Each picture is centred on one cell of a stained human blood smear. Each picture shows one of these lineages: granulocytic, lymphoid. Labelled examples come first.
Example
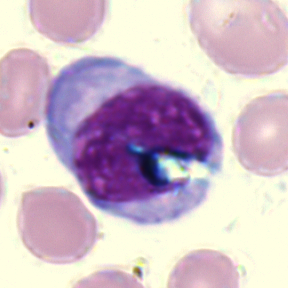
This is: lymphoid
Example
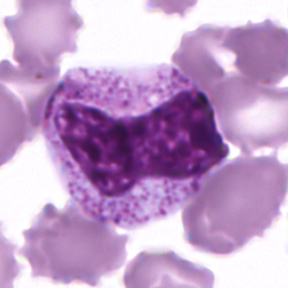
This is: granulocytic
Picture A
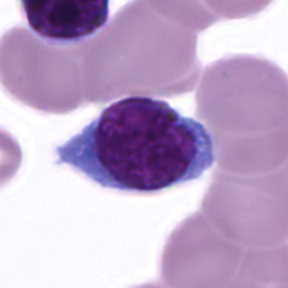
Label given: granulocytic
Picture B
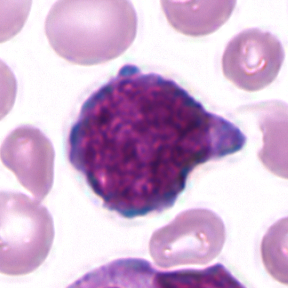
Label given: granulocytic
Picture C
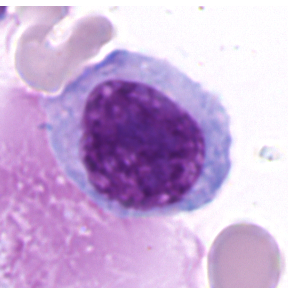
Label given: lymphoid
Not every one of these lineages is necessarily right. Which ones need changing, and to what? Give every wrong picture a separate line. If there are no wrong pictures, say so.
A: change granulocytic to lymphoid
